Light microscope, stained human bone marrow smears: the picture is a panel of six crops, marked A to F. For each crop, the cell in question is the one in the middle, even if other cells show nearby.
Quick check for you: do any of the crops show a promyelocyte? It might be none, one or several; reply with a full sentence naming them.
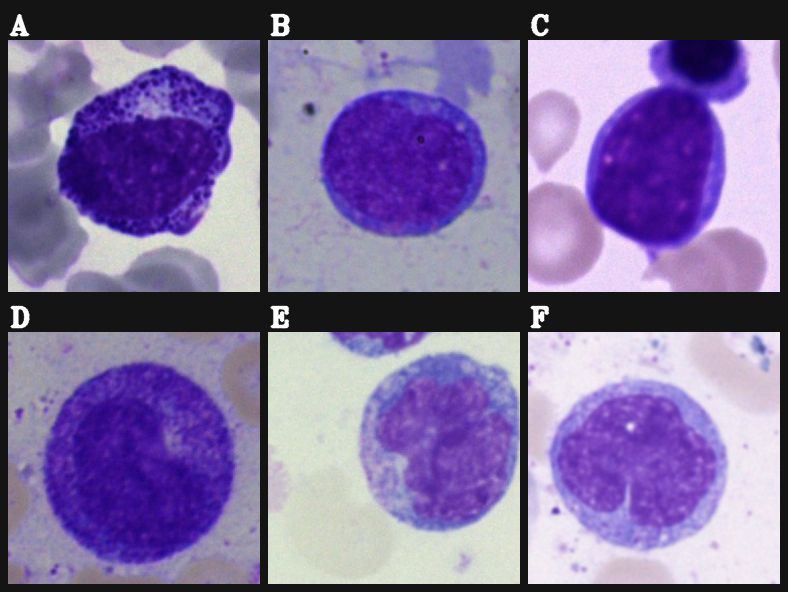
Crops A and D are the ones showing promyelocytes.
